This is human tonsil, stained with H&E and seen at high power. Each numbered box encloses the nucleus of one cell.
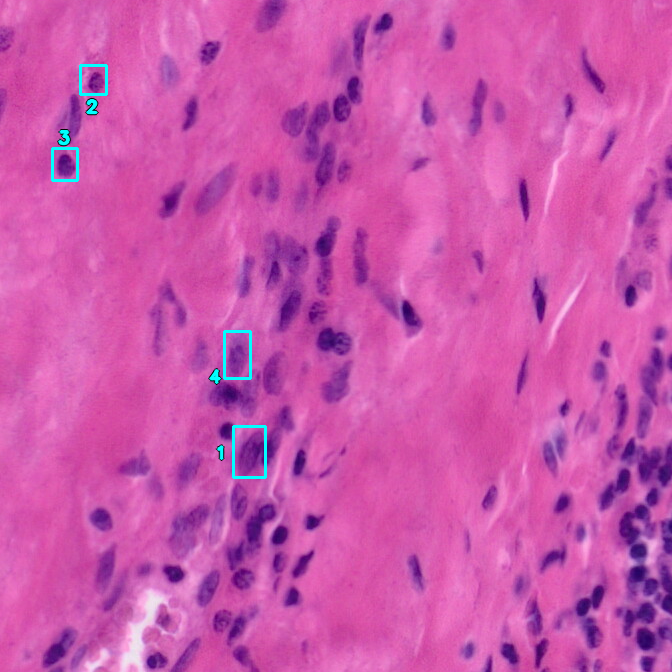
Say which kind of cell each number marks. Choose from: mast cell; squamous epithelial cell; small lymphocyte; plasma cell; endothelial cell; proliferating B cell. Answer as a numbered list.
1. endothelial cell
2. mast cell
3. mast cell
4. endothelial cell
